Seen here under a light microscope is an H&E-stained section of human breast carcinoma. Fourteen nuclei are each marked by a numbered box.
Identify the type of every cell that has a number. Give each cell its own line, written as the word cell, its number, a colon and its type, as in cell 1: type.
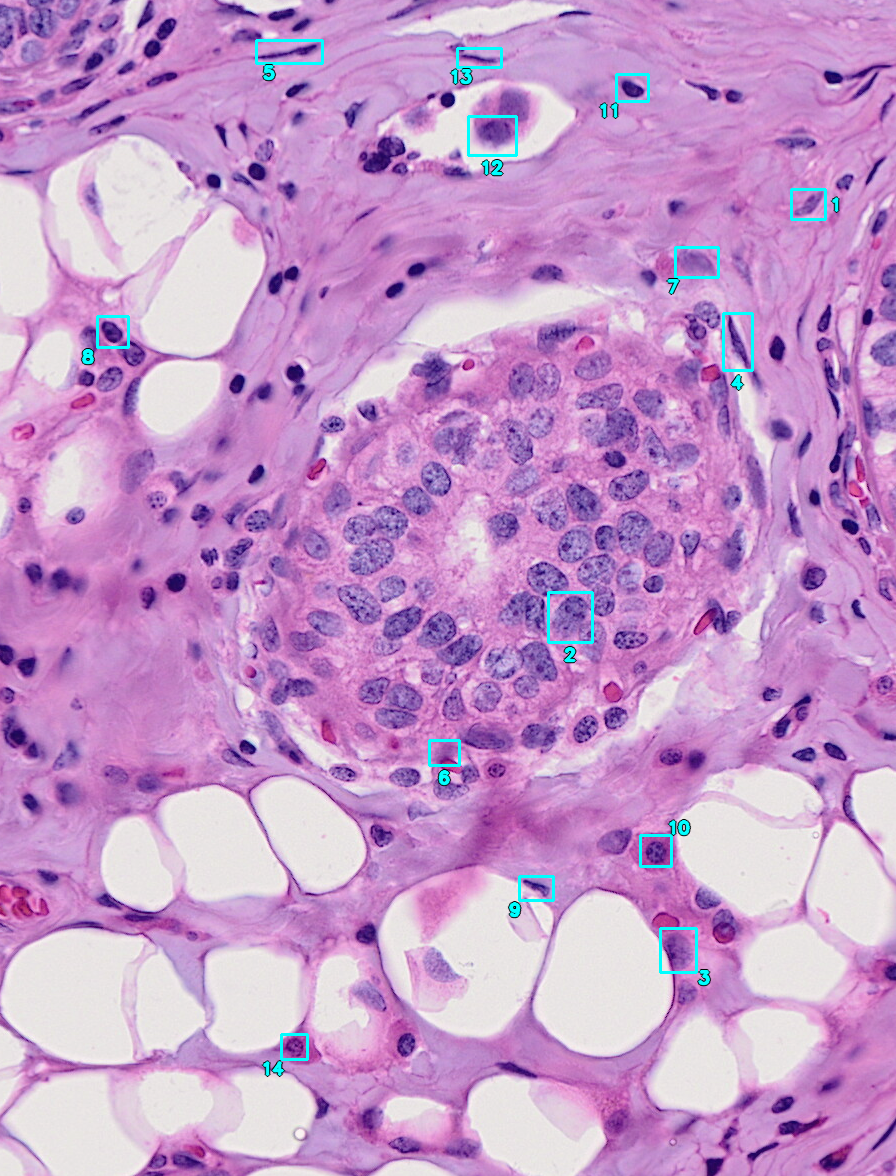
cell 1: fibroblast
cell 2: carcinoma cell
cell 3: endothelial cell
cell 4: fibroblast
cell 5: fibroblast
cell 6: endothelial cell
cell 7: fibroblast
cell 8: lymphocyte
cell 9: fibroblast
cell 10: mast cell
cell 11: lymphocyte
cell 12: carcinoma cell
cell 13: fibroblast
cell 14: mast cell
